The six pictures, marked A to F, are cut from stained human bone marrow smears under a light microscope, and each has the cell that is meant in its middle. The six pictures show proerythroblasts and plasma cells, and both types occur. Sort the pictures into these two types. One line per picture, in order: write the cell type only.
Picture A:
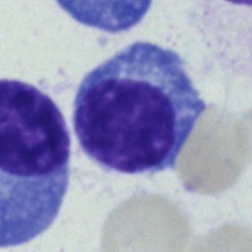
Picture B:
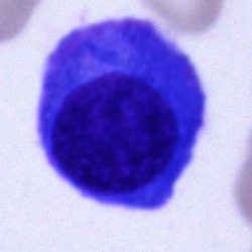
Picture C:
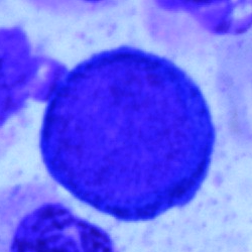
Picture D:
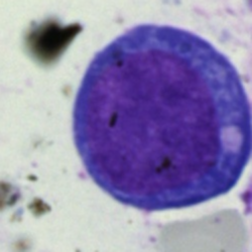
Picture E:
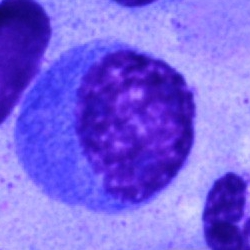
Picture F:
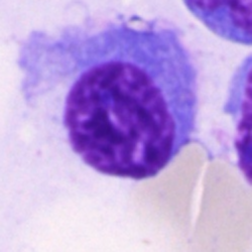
plasma cell
plasma cell
proerythroblast
proerythroblast
plasma cell
plasma cell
